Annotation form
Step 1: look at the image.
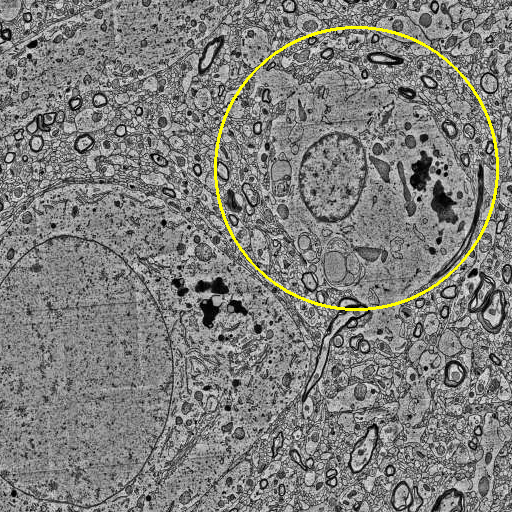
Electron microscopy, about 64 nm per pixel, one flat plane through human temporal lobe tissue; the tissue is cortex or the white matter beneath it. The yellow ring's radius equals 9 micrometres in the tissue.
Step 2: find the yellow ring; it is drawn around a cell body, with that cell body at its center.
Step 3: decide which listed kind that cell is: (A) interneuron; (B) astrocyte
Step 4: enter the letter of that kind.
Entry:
B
